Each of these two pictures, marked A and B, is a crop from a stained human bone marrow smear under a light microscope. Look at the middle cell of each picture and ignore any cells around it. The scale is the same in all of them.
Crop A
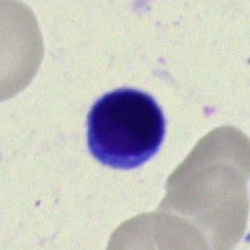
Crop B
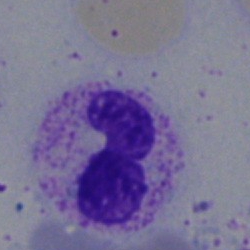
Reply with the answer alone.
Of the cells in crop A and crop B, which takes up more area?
B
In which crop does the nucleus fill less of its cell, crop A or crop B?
B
